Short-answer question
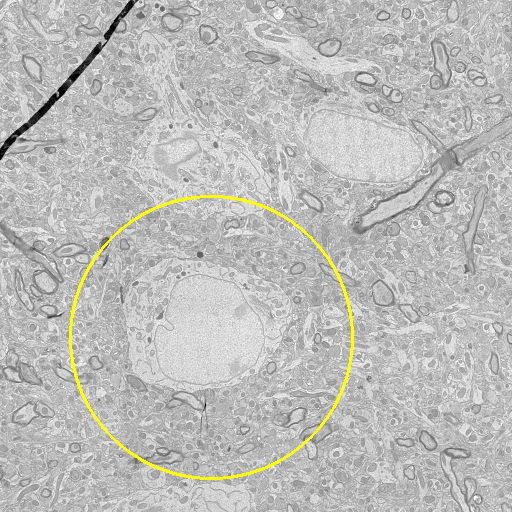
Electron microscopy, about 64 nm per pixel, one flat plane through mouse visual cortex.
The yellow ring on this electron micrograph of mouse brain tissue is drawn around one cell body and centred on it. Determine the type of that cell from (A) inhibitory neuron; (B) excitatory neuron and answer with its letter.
B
